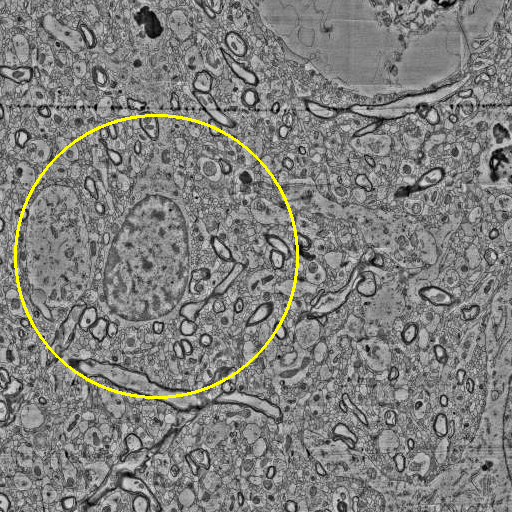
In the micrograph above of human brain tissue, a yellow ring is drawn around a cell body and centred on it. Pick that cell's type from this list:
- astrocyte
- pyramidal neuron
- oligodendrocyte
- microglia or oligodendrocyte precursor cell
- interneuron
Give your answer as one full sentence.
Going by the list, an oligodendrocyte is the cell on which the yellow ring is centred.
